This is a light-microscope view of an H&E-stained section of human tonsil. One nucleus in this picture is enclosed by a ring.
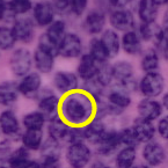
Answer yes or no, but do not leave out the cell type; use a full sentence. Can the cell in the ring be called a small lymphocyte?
Yes, the cell in the ring is, by type, a small lymphocyte.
